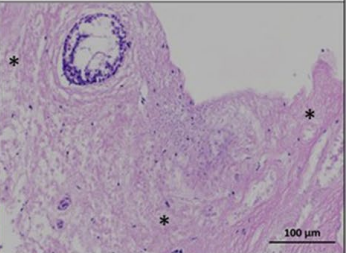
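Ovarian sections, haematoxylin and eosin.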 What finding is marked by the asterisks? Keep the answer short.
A: Tissue necrosis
